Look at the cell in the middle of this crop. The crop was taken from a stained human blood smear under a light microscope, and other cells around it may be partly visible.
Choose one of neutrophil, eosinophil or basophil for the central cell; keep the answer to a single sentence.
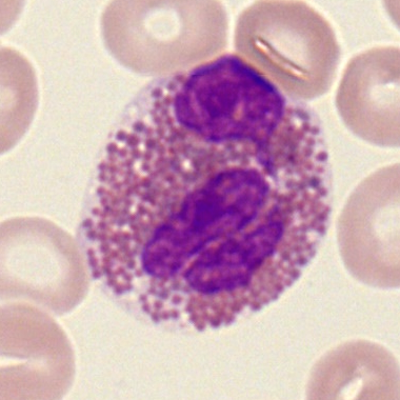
The central cell, amid any neighbouring cells, is an eosinophil.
